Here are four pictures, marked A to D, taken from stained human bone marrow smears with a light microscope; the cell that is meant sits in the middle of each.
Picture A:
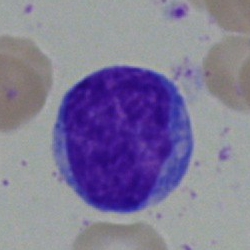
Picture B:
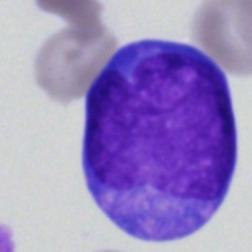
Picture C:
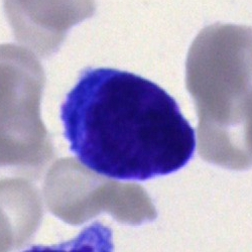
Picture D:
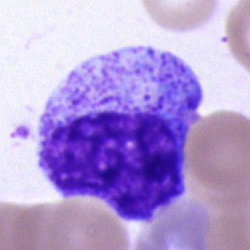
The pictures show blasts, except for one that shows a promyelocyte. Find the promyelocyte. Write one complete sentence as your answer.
It is picture D that shows the promyelocyte.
